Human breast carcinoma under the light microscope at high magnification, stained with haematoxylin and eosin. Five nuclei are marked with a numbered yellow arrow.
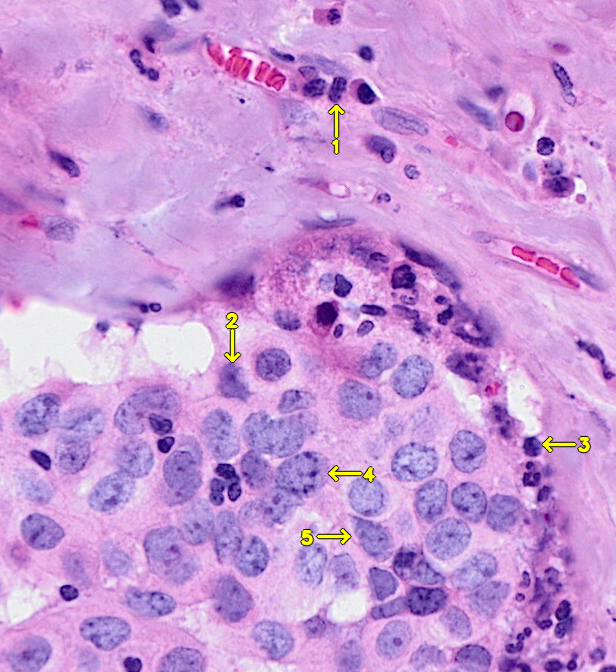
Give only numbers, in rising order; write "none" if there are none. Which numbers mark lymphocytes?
1, 3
